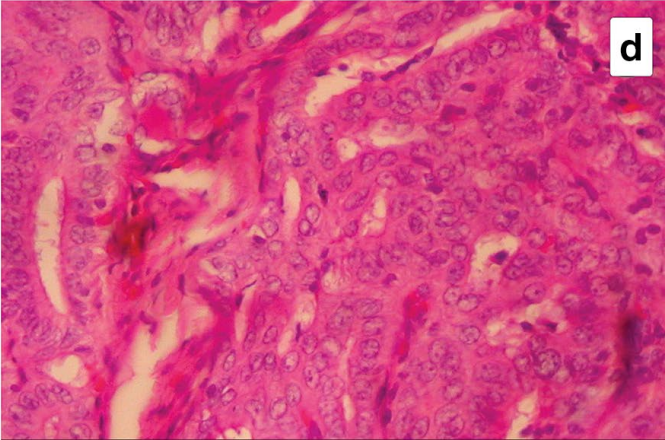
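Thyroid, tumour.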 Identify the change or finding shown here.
Clear nuclei.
